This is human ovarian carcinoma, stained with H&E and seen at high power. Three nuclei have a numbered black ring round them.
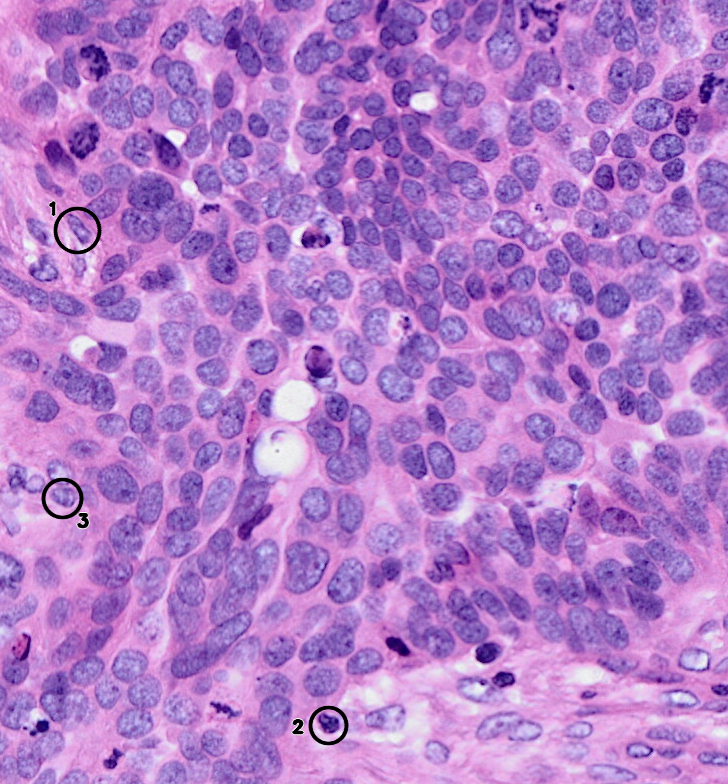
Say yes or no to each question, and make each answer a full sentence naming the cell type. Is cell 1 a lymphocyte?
No, the cell bearing the number 1 is a fibroblast, not a lymphocyte.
